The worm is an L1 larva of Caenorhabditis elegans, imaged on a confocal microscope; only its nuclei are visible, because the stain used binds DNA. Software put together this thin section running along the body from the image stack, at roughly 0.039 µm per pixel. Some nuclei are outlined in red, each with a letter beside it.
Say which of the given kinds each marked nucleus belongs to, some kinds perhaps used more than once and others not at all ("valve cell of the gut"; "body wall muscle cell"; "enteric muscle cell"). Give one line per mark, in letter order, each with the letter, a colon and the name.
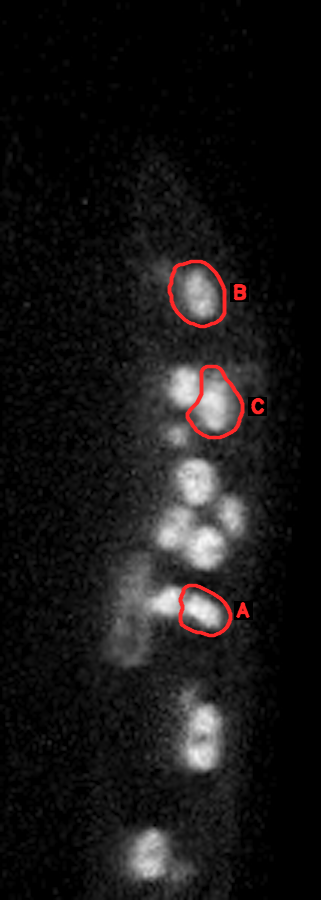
A: valve cell of the gut
B: body wall muscle cell
C: enteric muscle cell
